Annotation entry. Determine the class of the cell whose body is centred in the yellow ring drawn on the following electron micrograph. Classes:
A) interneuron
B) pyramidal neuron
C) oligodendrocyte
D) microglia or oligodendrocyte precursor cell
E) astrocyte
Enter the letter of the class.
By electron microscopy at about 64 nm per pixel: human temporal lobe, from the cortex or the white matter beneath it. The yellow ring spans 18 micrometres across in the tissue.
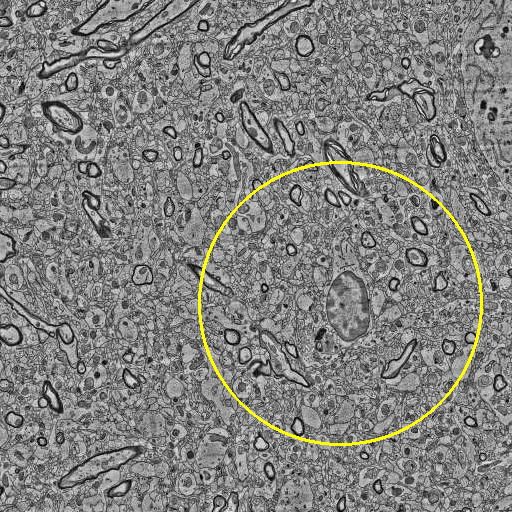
D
